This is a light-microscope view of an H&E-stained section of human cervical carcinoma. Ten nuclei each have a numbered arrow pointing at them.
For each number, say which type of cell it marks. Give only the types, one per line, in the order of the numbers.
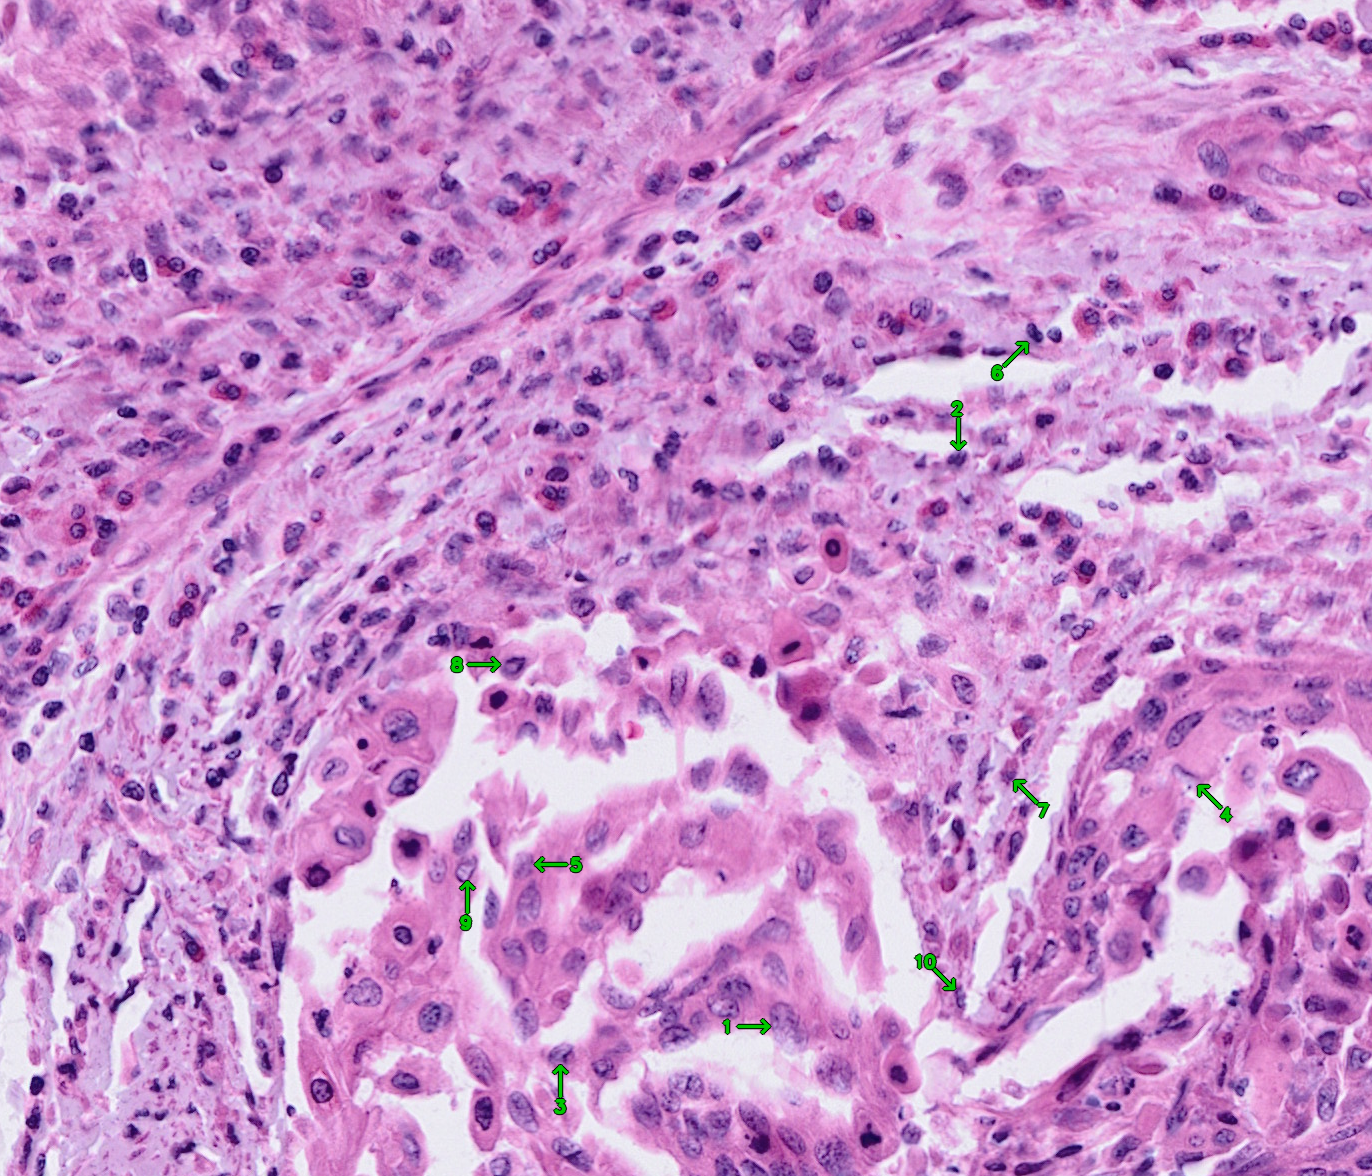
squamous carcinoma cell
lymphocyte
squamous carcinoma cell
squamous carcinoma cell
squamous carcinoma cell
lymphocyte
fibroblast
squamous carcinoma cell
squamous carcinoma cell
fibroblast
